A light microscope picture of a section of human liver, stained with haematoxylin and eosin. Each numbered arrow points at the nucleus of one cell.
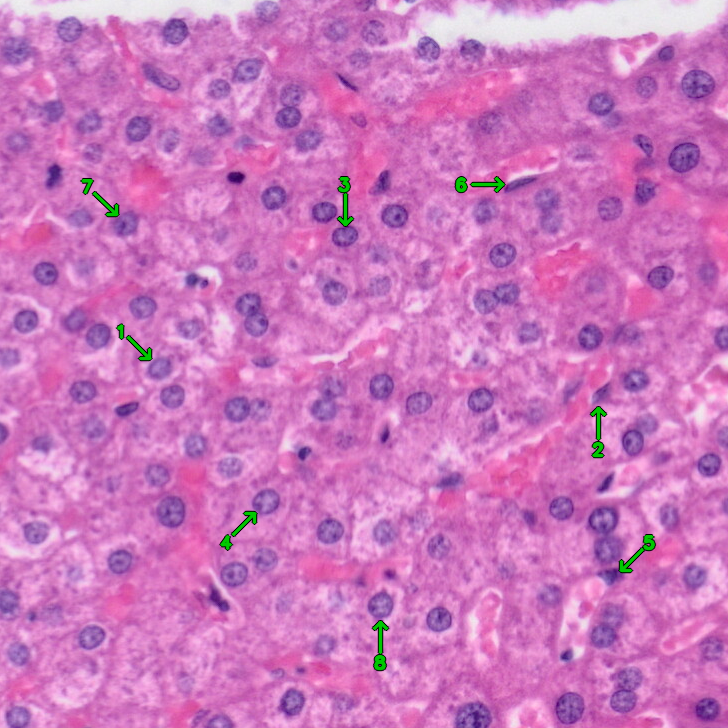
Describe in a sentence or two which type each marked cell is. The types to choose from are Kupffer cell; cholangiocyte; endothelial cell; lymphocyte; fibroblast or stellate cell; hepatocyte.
Cell 1 is a hepatocyte, cell 2 is an endothelial cell, cell 3 is a hepatocyte, cell 4 is a hepatocyte, cell 5 is a fibroblast or stellate cell, cell 6 is an endothelial cell, cell 7 is a hepatocyte and cell 8 is a hepatocyte.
